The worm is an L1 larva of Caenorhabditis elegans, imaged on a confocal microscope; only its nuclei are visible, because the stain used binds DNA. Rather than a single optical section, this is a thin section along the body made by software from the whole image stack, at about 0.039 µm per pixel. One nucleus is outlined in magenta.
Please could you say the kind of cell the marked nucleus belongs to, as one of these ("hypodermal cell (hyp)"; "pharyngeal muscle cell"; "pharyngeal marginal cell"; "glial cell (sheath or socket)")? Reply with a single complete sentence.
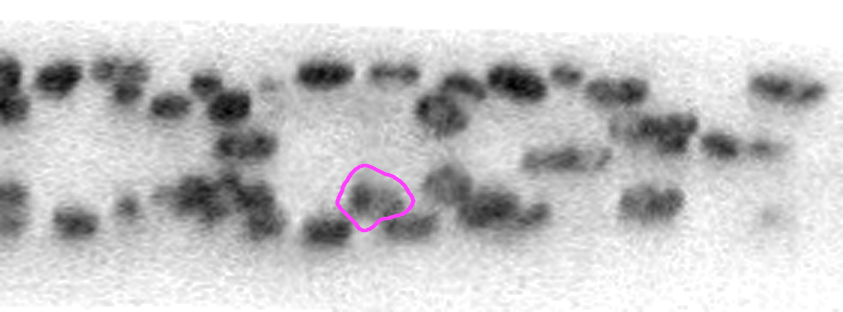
It is the nucleus of a pharyngeal muscle cell.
